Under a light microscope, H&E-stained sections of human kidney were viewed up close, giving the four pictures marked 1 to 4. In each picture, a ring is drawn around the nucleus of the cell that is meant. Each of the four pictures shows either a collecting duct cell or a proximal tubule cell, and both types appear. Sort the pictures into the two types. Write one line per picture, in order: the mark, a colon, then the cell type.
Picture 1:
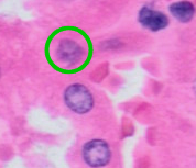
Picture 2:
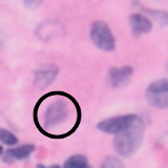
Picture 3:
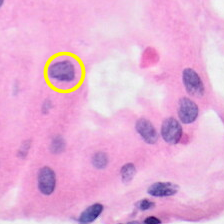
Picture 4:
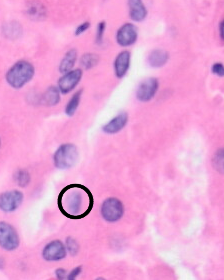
1: proximal tubule cell
2: proximal tubule cell
3: proximal tubule cell
4: collecting duct cell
